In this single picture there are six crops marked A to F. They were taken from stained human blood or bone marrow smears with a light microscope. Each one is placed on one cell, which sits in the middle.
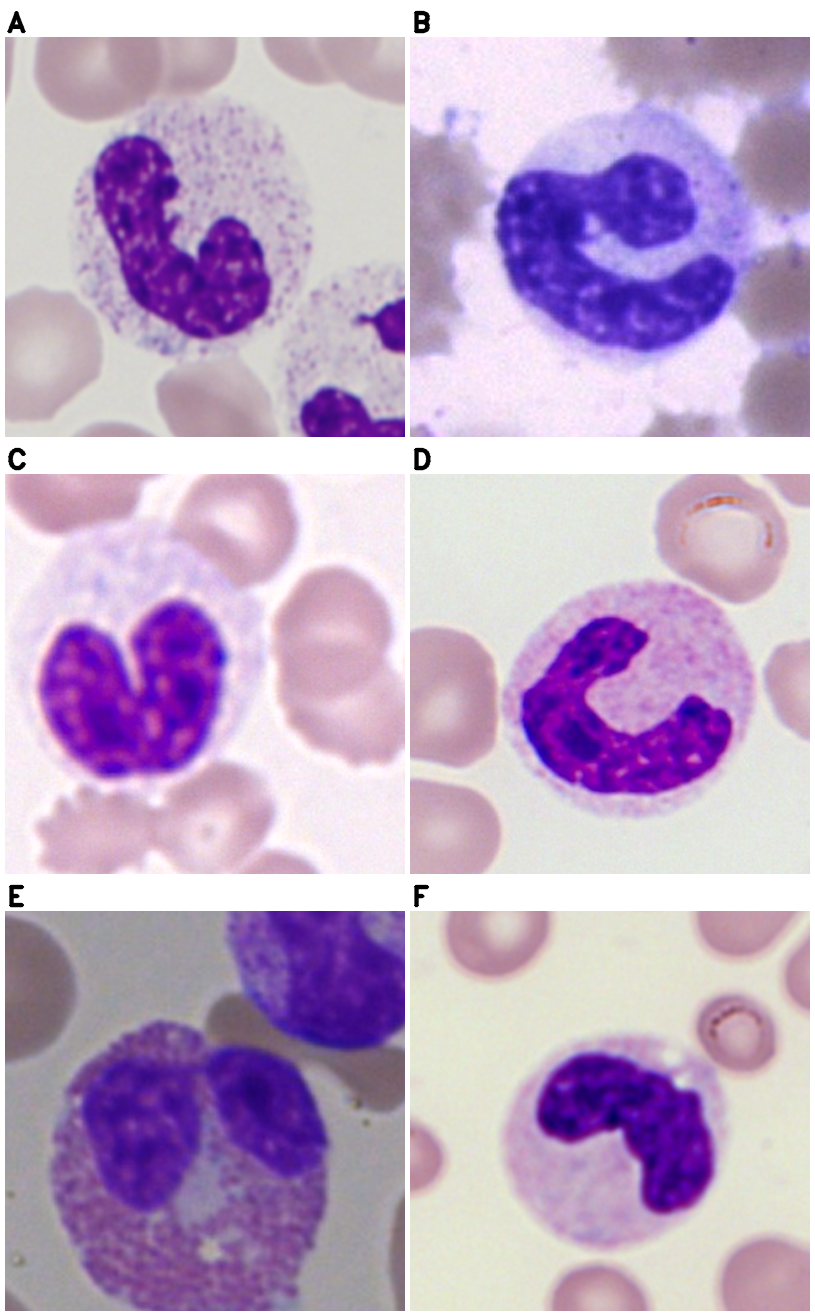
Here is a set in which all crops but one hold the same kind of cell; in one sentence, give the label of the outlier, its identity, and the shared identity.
Of these crops, only crop E is an eosinophil; the others are band neutrophils.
